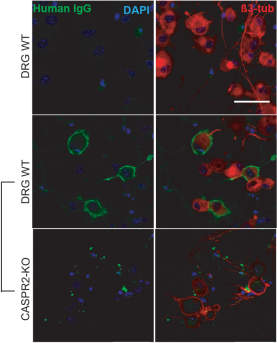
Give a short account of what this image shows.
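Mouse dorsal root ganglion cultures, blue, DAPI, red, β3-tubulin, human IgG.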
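In the middle row bright green rings outline the surfaces of several round neuronal cell bodies, lying at their margins around the red cytoplasm. In the top row the neurons are similar but bear almost no green, and in the bottom row the red neurons with fine processes likewise lack green rims, showing only a few small green specks.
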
